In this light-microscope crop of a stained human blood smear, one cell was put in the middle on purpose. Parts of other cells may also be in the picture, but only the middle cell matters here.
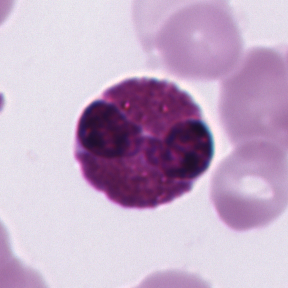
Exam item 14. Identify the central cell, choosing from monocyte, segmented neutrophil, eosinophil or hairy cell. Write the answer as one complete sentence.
What the crop centres on is an eosinophil.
